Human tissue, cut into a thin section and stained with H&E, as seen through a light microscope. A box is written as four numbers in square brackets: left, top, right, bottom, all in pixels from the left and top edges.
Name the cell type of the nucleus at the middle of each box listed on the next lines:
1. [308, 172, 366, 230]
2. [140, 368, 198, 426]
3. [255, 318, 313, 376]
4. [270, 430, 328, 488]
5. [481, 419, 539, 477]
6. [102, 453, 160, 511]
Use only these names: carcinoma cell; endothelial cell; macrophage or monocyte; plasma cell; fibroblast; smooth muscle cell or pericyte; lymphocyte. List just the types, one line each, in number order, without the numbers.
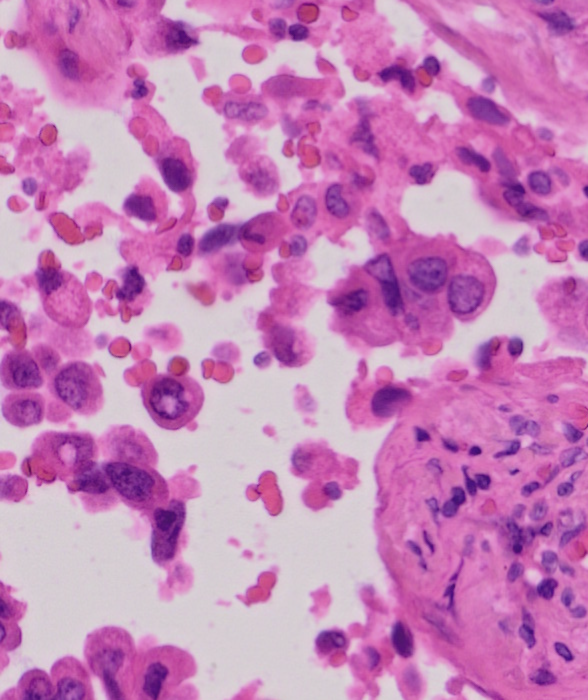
macrophage or monocyte
carcinoma cell
carcinoma cell
macrophage or monocyte
lymphocyte
carcinoma cell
